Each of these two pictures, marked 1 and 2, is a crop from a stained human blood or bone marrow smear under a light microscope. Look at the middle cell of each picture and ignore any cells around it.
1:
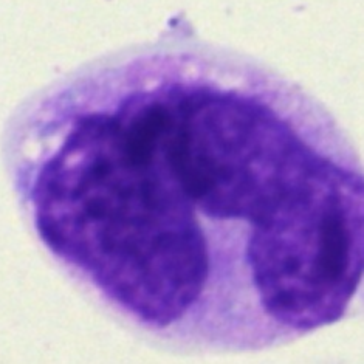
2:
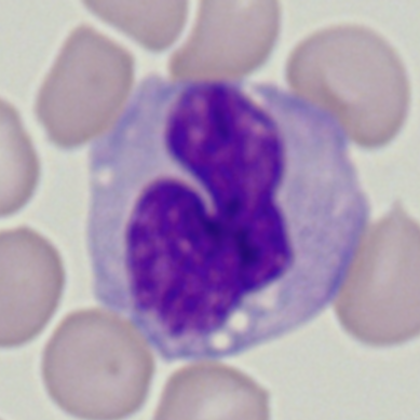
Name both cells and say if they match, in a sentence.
Yes, that holds, both crops show monocytes.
